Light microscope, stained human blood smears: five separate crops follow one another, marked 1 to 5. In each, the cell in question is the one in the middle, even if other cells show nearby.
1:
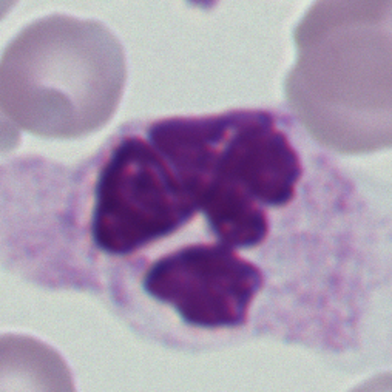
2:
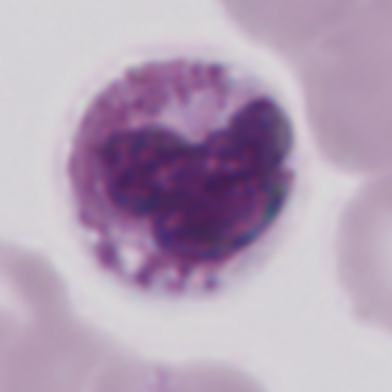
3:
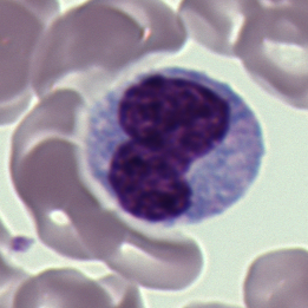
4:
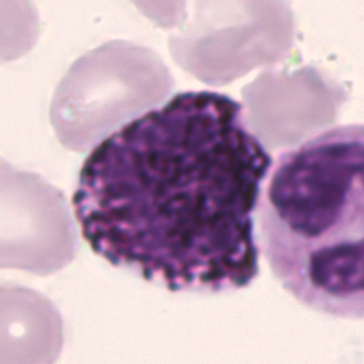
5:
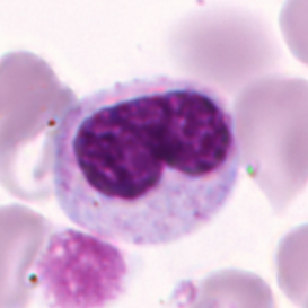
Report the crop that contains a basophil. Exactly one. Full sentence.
It is in crop 4 that a basophil is shown.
